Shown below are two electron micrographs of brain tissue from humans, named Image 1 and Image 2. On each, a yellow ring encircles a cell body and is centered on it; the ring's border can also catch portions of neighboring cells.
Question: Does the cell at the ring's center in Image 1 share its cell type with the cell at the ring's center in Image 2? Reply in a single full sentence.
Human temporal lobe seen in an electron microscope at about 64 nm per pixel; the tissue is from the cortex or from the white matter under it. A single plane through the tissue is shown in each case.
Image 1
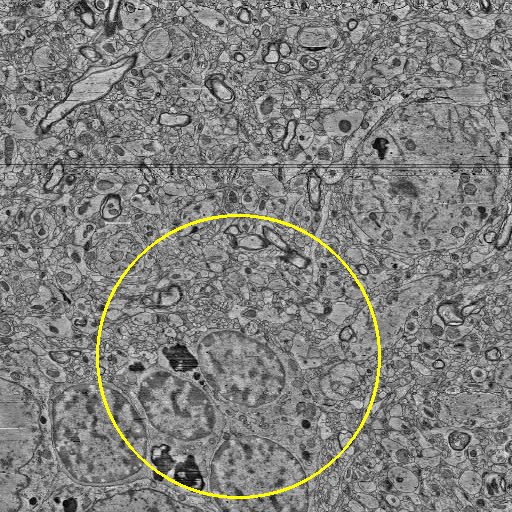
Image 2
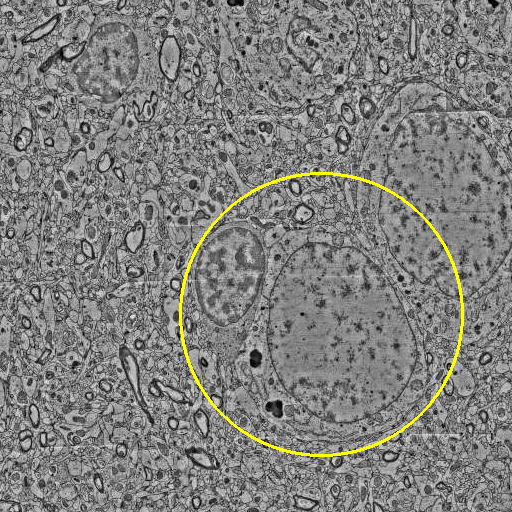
No, the two cells at the ring centers, in Image 1 and Image 2, are of two cell types.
